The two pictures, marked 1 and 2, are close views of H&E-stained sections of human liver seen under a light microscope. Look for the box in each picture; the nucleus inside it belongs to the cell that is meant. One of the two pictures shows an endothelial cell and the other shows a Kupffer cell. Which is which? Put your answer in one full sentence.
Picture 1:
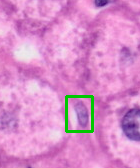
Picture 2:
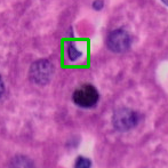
In picture 1 the cell is a Kupffer cell; in picture 2, an endothelial cell.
